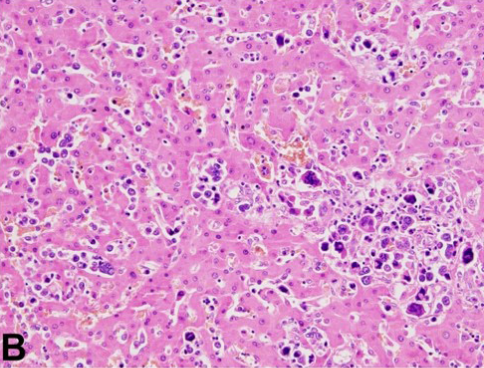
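Plates of pink polygonal hepatocytes with round central nuclei run across the field. In the narrow channels between the plates lie many large cells with big, dark, irregular and sometimes multilobed nuclei, clustered more densely at one side. This is liver with atypical cells infiltrating mainly within the sinusoids.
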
